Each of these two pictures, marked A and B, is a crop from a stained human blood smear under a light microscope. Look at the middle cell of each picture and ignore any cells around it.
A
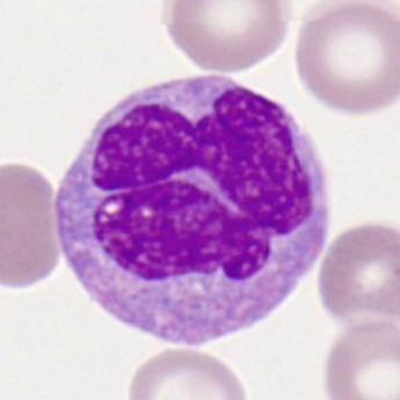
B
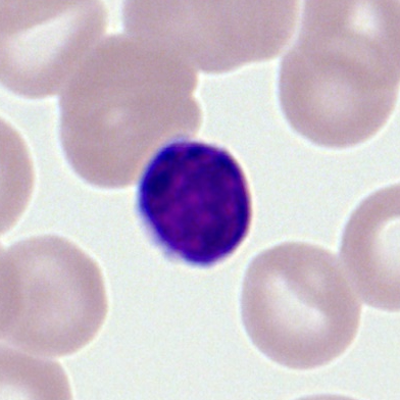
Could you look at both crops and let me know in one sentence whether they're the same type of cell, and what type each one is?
No: a monocyte sits in crop A, and a lymphocyte sits in crop B.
